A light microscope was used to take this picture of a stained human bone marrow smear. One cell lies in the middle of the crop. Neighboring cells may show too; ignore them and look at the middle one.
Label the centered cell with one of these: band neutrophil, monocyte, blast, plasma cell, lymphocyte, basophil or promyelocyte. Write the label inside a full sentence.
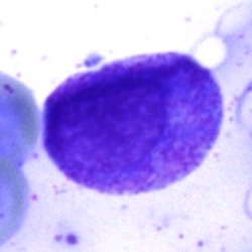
At the center of the crop sits a promyelocyte.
